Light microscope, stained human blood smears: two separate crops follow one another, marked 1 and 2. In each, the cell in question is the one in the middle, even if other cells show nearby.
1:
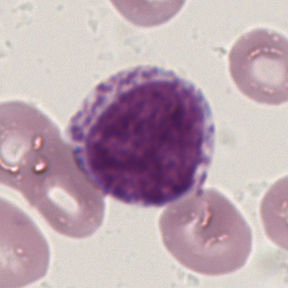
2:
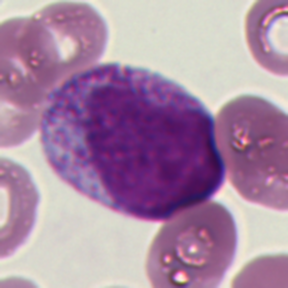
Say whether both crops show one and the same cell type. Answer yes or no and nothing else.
yes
